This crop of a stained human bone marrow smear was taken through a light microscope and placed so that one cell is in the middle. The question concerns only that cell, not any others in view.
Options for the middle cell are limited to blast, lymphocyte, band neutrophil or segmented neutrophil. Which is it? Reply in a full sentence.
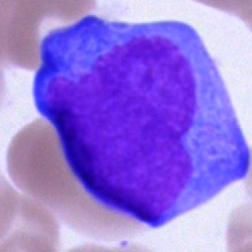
The cell at the heart of this crop is a blast.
